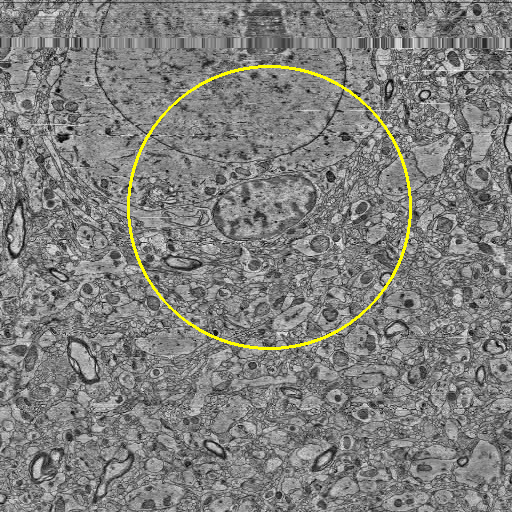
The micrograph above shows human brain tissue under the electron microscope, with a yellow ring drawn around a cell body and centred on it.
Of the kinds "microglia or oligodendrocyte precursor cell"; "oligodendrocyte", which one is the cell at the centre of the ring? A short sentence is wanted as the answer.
The one at the centre of the ring is a microglial cell or oligodendrocyte precursor cell.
